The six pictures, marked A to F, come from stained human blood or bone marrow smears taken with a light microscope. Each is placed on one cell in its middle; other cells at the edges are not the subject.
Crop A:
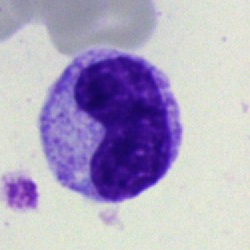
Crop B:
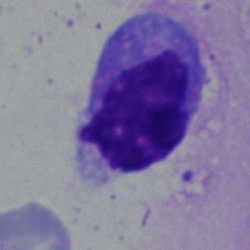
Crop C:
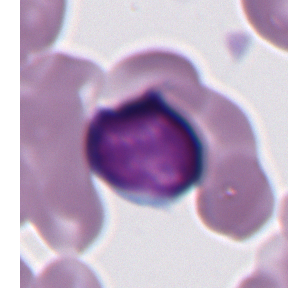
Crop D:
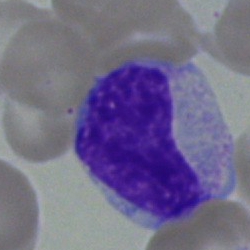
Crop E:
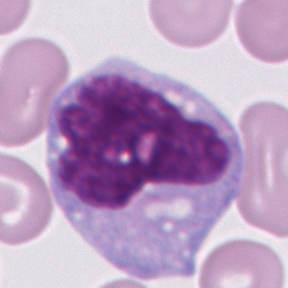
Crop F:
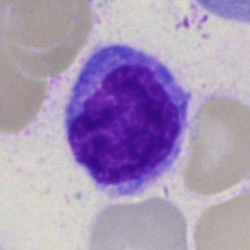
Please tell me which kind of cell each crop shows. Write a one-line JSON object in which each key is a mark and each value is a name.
{"A": "metamyelocyte", "B": "monocyte", "C": "lymphocyte", "D": "metamyelocyte", "E": "monocyte", "F": "monocyte"}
